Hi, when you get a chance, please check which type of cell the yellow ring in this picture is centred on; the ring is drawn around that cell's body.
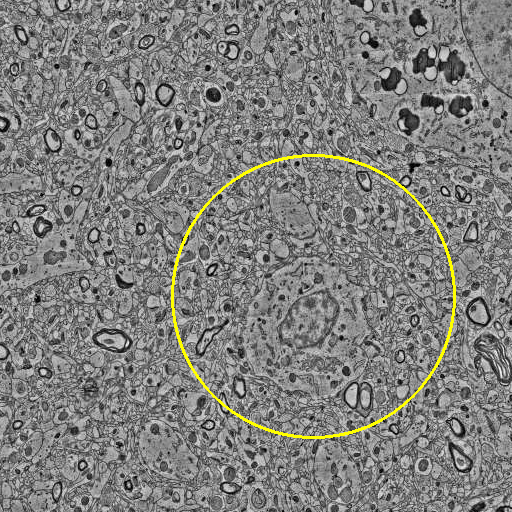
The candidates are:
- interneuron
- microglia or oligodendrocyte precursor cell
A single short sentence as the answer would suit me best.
The ring is drawn around the body of an interneuron.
